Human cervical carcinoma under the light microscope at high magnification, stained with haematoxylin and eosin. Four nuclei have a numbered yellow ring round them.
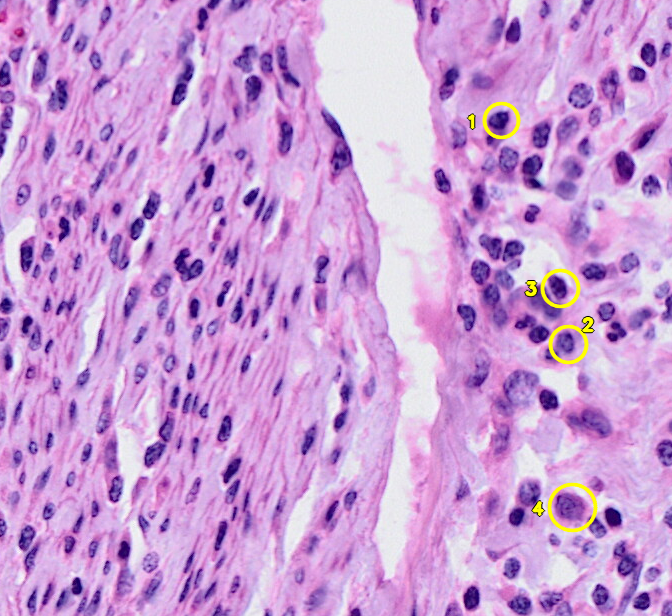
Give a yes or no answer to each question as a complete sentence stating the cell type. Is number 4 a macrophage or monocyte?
Yes, number 4 marks a cell that is a macrophage or monocyte.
